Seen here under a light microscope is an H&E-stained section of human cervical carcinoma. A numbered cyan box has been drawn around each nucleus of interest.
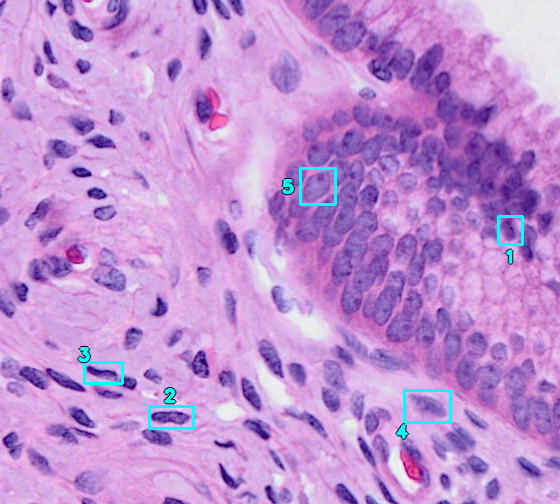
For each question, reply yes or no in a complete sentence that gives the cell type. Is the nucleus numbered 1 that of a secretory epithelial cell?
Yes, cell number 1 is identified here as a secretory epithelial cell.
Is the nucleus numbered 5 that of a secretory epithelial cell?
Yes, that one, number 5, is a secretory epithelial cell.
